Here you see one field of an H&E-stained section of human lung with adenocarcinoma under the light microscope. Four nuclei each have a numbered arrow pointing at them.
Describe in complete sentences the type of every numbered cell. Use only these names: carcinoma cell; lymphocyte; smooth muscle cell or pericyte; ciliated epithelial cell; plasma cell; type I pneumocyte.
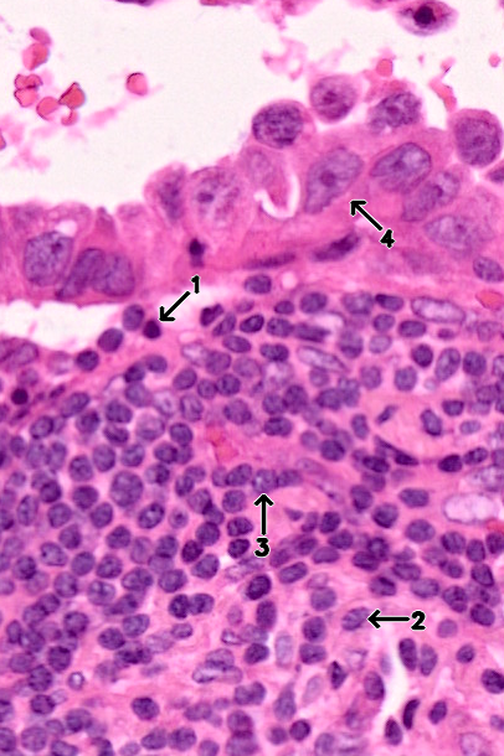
Cells 1, 2 and 3 are lymphocytes. Cell 4 is a carcinoma cell.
